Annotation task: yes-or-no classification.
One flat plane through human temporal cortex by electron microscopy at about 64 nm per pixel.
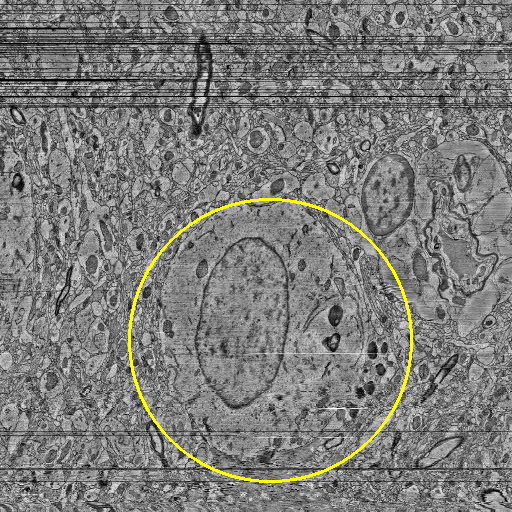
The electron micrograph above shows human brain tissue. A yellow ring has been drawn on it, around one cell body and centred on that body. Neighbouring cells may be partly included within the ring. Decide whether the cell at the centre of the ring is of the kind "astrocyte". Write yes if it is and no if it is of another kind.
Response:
no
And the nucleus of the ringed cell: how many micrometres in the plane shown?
The nucleus is approximately 12 micrometres long but only about 6 wide, clearly longer than it is wide in this plane.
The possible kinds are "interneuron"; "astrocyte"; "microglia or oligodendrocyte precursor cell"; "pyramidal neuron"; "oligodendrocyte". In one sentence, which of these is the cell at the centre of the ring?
The answer is that the ringed cell is a pyramidal neuron.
